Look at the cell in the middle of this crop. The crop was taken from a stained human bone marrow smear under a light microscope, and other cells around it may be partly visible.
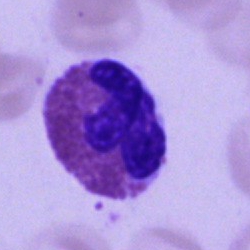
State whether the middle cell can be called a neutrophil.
no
